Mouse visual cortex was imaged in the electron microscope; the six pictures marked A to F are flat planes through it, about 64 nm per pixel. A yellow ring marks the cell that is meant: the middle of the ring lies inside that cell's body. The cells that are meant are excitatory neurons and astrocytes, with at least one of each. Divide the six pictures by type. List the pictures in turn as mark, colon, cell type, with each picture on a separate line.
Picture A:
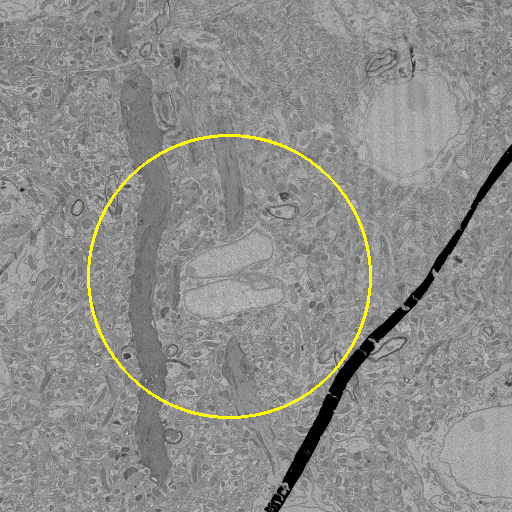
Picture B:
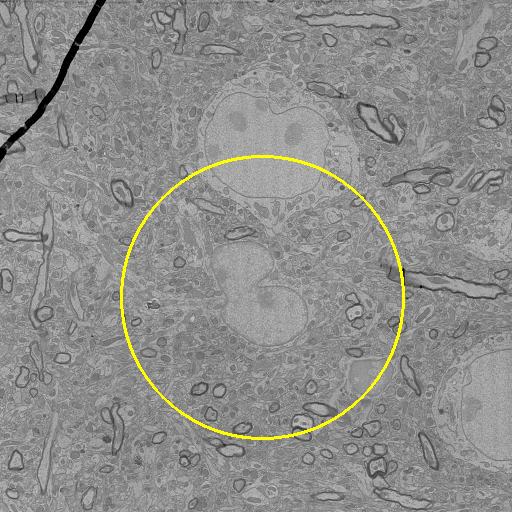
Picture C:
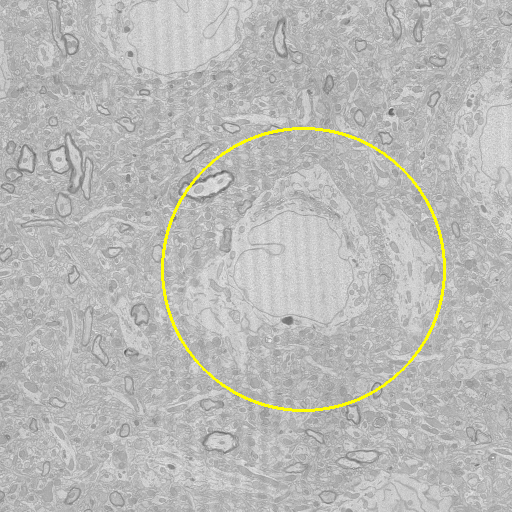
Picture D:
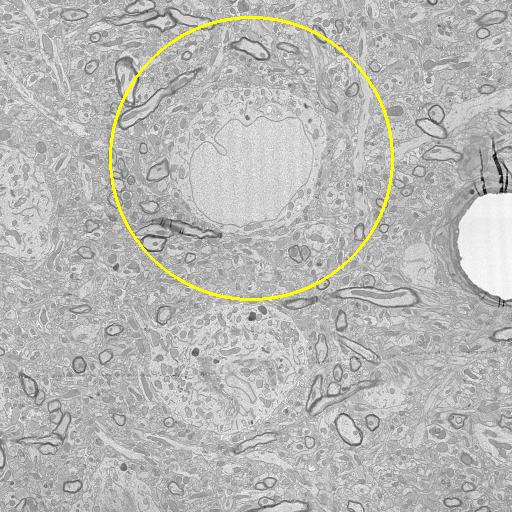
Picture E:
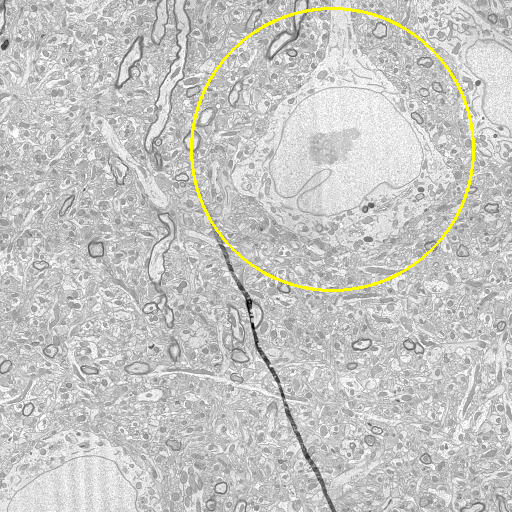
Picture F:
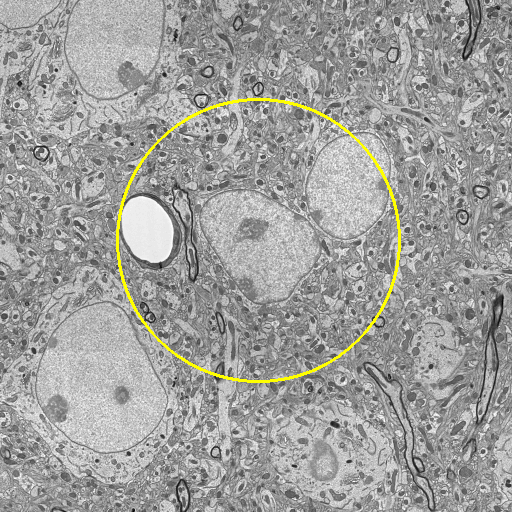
A: astrocyte
B: astrocyte
C: excitatory neuron
D: excitatory neuron
E: excitatory neuron
F: astrocyte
